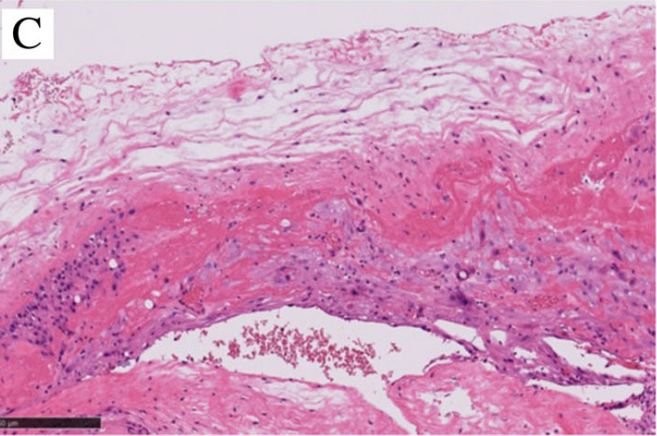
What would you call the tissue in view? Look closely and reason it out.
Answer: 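Chorioamnion. A thin layered membrane with a loose pale upper layer. A denser pink fibrous layer with scattered nuclei beneath. A vessel with red blood cells lies in the lower part.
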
